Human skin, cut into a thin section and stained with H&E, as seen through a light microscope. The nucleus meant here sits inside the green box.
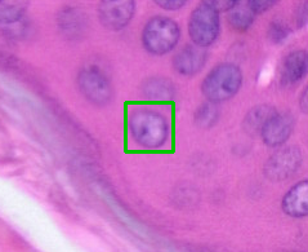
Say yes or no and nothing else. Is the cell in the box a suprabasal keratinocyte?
yes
